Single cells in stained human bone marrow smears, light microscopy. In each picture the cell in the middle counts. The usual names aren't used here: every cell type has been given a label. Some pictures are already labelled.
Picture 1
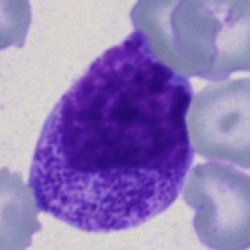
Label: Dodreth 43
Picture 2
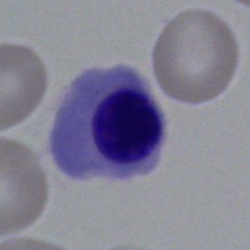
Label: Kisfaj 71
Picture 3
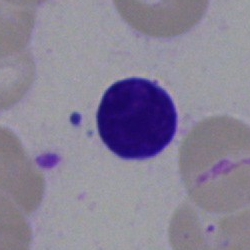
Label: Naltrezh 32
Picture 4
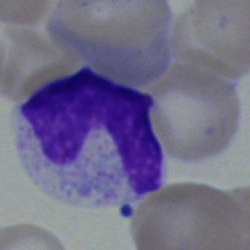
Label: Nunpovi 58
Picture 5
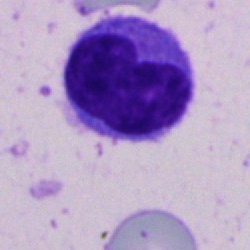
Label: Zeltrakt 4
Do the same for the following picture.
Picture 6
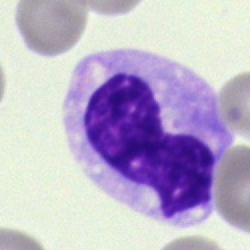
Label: Nunpovi 58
